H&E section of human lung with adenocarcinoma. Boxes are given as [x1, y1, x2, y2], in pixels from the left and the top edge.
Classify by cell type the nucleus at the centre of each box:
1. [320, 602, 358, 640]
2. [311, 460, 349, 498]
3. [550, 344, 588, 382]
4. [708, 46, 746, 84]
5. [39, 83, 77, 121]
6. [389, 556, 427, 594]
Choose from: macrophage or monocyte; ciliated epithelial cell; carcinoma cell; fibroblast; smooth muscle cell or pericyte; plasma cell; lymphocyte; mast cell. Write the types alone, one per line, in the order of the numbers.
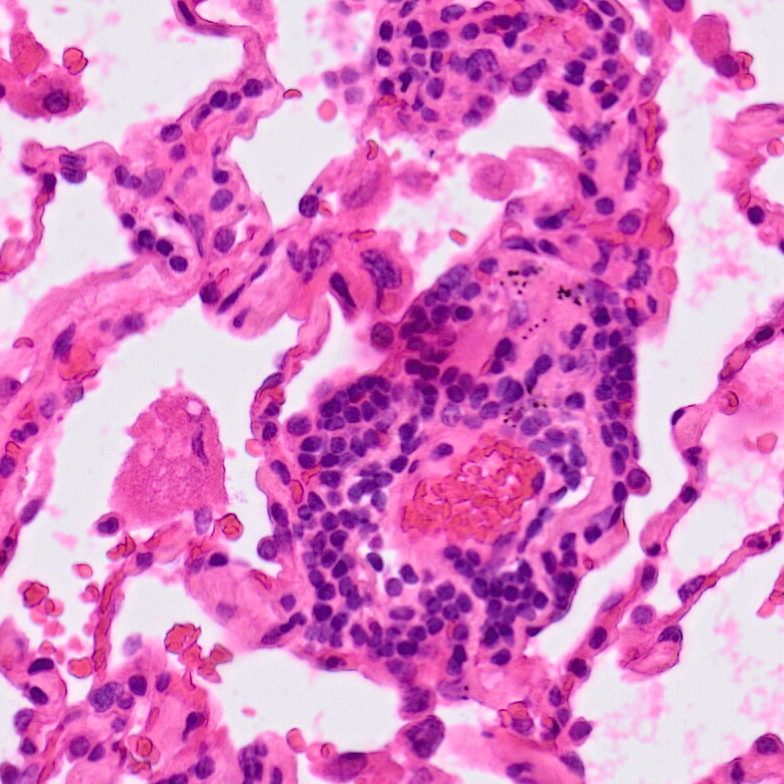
lymphocyte
lymphocyte
lymphocyte
macrophage or monocyte
macrophage or monocyte
lymphocyte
